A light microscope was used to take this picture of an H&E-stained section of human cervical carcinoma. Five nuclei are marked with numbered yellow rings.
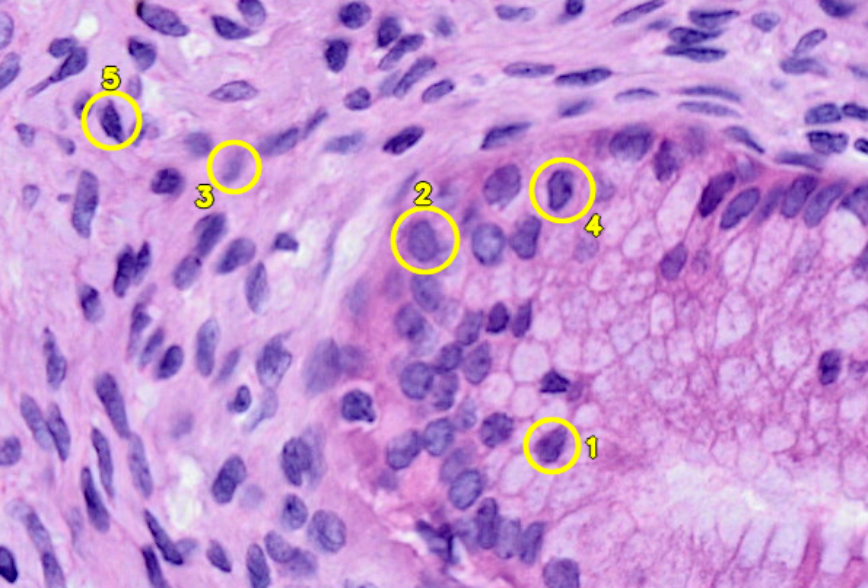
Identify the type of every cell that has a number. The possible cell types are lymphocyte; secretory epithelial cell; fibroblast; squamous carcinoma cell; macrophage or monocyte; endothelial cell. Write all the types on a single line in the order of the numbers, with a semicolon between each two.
secretory epithelial cell; secretory epithelial cell; fibroblast; secretory epithelial cell; fibroblast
